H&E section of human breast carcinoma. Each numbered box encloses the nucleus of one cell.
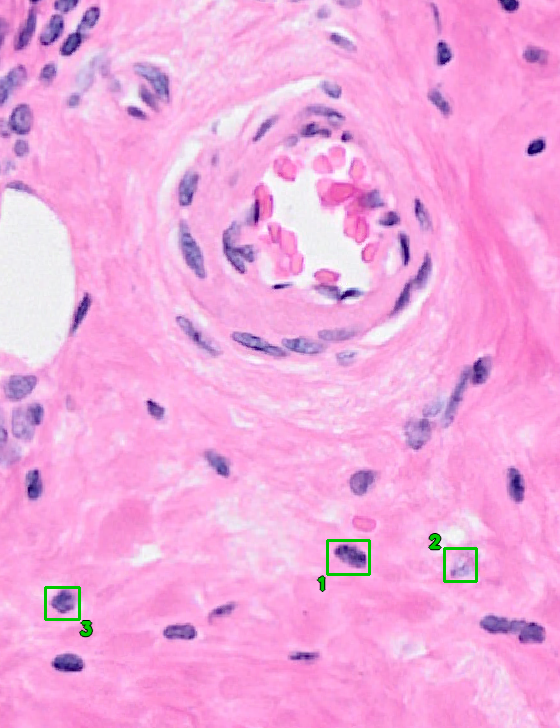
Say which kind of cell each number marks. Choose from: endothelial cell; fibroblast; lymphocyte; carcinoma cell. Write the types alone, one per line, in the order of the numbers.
lymphocyte
fibroblast
lymphocyte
